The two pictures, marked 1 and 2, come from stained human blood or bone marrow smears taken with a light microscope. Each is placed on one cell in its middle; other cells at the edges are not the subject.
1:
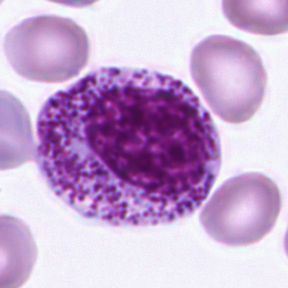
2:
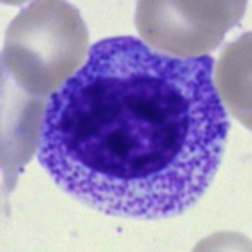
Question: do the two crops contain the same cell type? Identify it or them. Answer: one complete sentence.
Yes, the two crops show myelocytes at their centres.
